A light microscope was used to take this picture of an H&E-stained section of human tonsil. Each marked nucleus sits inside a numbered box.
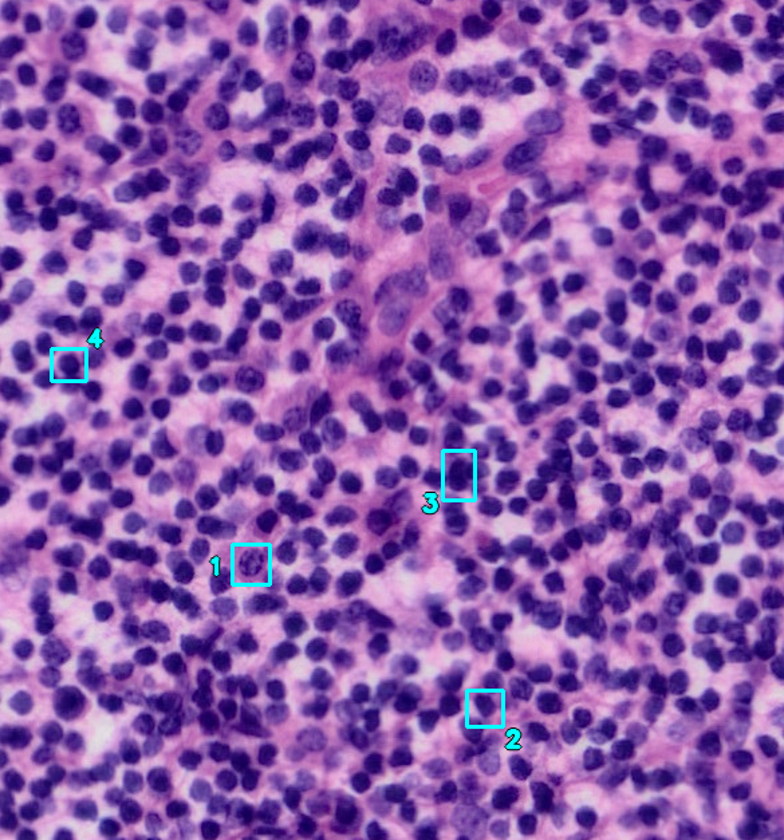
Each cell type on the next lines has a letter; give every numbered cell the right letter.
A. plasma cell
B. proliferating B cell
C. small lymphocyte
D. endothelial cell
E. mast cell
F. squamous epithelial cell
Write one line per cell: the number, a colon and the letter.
1: A
2: C
3: C
4: C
